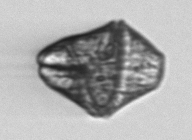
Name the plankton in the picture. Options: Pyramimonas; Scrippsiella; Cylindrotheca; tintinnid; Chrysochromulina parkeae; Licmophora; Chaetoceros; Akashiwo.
Akashiwo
